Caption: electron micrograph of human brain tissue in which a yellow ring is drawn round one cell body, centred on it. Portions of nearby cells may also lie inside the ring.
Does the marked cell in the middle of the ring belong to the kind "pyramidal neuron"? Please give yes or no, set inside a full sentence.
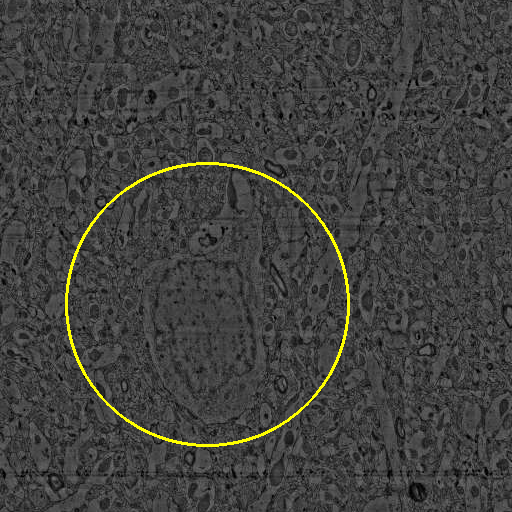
No, the marked cell that the ring is centred on in the picture is of another kind.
